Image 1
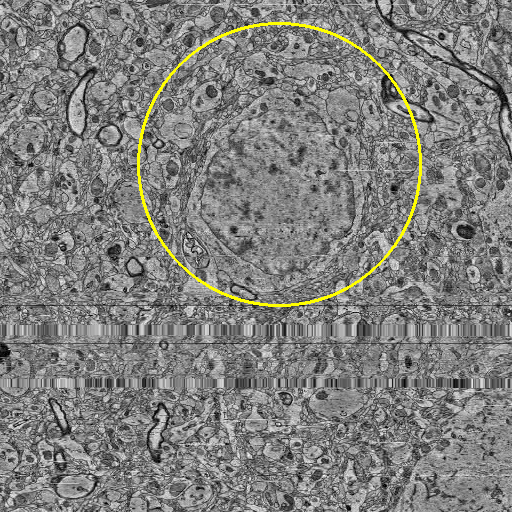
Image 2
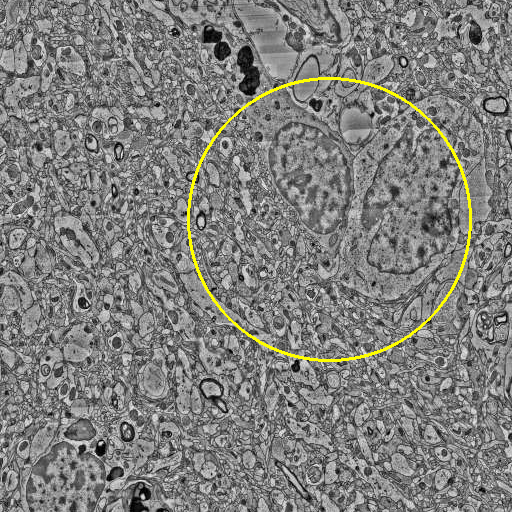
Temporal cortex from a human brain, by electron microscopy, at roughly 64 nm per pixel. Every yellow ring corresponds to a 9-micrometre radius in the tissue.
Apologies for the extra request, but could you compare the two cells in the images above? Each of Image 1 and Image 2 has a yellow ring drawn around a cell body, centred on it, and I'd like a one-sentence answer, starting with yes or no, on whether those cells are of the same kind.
No, the two cells are of two kinds.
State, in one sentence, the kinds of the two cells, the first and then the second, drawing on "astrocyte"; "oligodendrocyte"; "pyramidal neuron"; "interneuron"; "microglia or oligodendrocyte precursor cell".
The ring in the second picture is centred on an oligodendrocyte, the ring in the first on an interneuron.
